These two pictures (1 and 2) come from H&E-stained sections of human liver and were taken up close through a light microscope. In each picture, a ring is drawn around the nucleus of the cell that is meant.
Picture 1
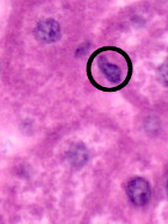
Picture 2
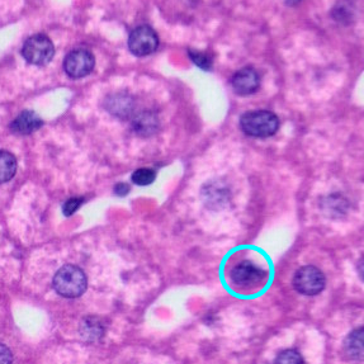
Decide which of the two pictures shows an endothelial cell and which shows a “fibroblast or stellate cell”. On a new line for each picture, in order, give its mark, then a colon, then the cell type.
1: fibroblast or stellate cell
2: endothelial cell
